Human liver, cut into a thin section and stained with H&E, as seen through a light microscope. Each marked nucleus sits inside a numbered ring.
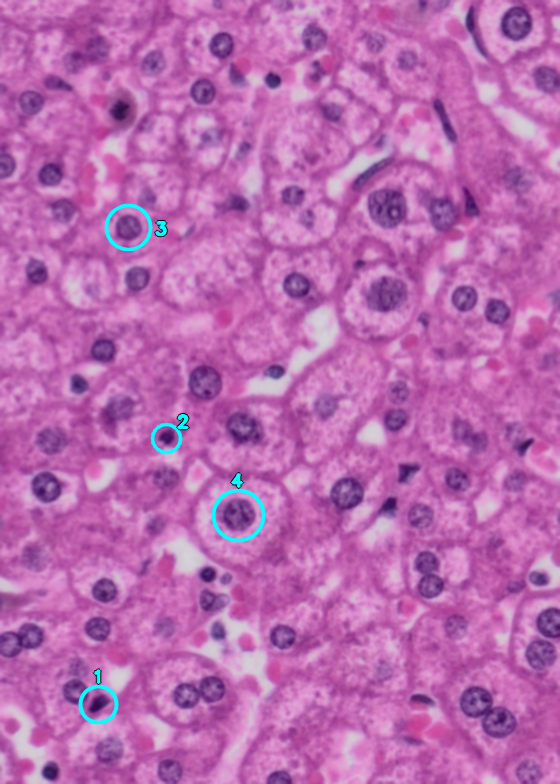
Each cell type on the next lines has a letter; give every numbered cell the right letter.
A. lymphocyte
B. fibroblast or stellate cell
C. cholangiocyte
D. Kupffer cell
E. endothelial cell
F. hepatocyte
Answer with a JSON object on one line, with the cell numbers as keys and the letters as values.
{"1": "B", "2": "B", "3": "F", "4": "F"}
